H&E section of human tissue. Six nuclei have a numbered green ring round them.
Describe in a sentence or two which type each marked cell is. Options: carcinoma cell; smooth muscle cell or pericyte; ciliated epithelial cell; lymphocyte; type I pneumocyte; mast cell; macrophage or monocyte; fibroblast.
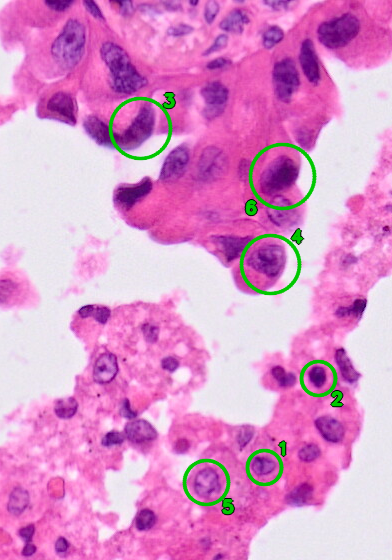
Cell 1 is a macrophage or monocyte, cell 2 is a lymphocyte, cell 3 is a carcinoma cell, cell 4 is a carcinoma cell, cell 5 is a macrophage or monocyte and cell 6 is a carcinoma cell.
